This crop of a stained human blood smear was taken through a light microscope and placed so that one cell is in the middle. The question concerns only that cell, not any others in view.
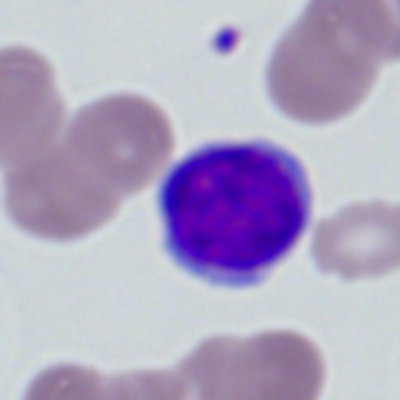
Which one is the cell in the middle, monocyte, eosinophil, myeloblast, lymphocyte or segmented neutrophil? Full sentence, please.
At the middle of the frame sits a lymphocyte.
